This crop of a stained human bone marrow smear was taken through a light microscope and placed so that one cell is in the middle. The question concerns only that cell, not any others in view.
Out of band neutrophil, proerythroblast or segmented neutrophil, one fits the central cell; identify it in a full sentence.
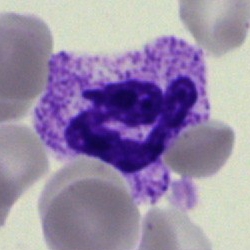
To answer, the cell in the center of the crop is a segmented neutrophil.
